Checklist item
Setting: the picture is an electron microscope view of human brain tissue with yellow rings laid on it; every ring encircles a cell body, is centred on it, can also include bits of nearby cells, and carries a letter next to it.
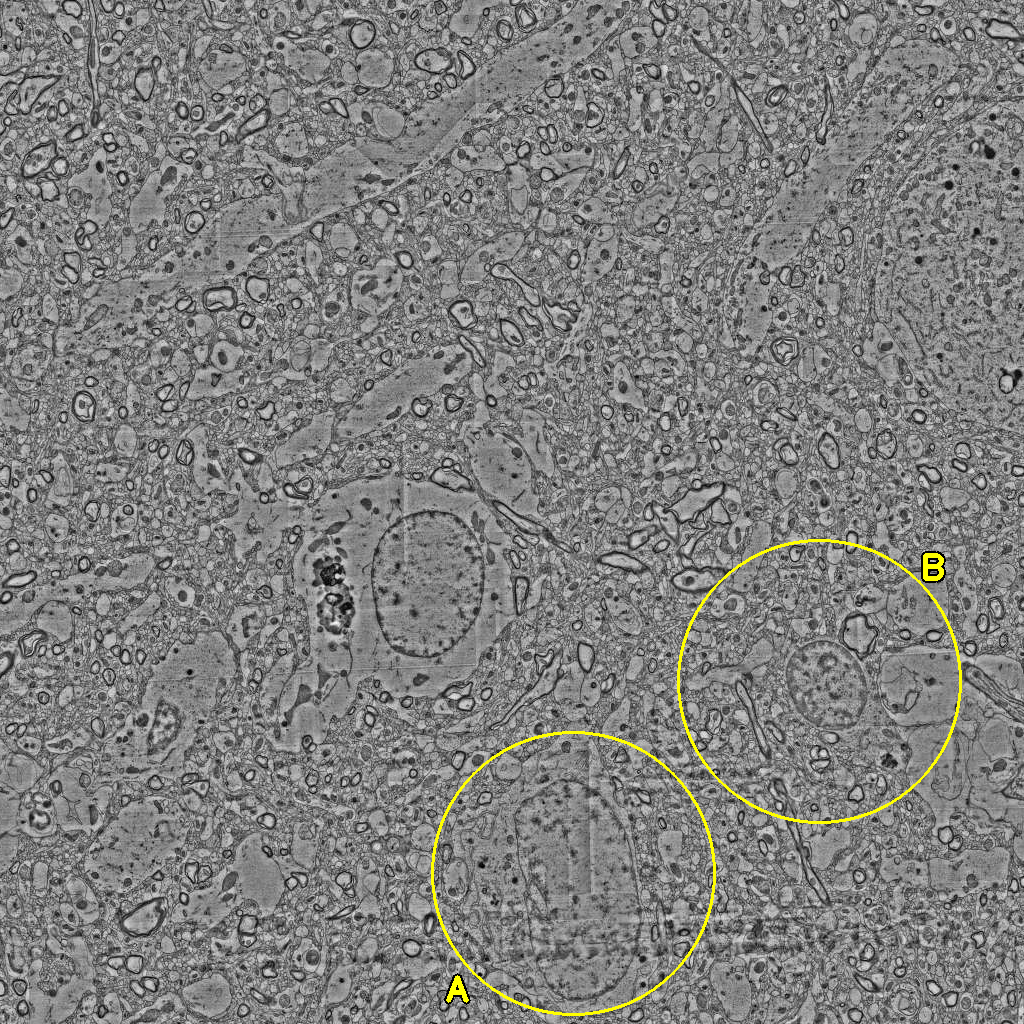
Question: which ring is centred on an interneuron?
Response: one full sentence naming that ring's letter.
My response is that ring A has the sought cell at its centre.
